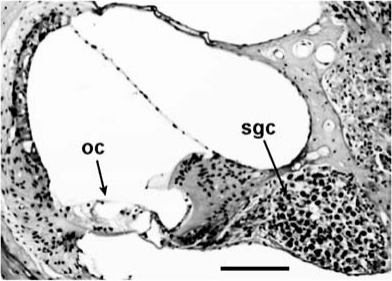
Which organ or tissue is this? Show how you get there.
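A large fluid-filled duct encased in bone. A thin membrane crosses the duct diagonally. A cluster of densely packed round cell bodies lies in bone at the right. On this evidence: cochlea.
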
